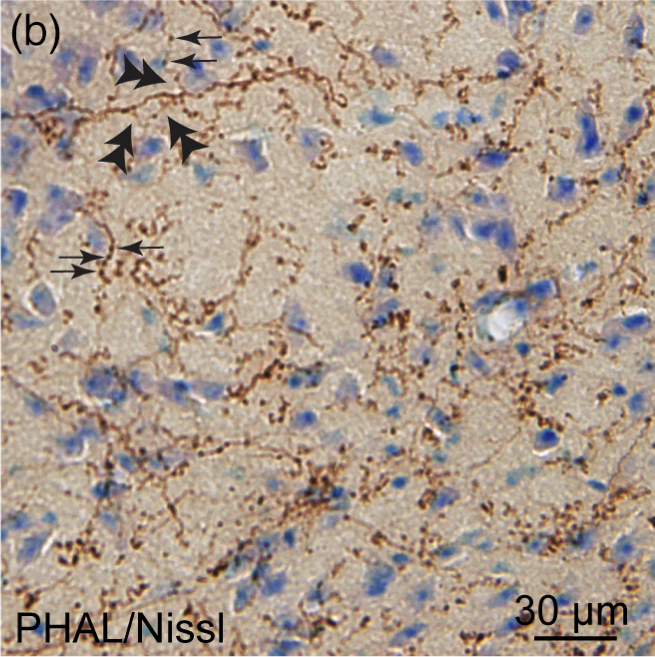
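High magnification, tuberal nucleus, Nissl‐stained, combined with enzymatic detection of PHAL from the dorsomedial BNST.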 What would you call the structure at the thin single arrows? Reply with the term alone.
Varicosities.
